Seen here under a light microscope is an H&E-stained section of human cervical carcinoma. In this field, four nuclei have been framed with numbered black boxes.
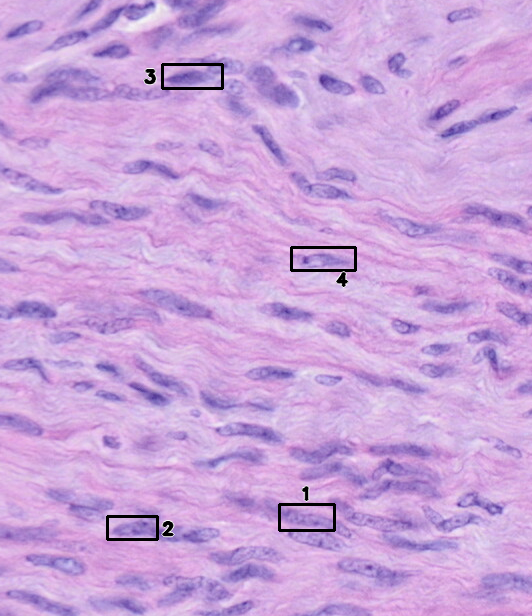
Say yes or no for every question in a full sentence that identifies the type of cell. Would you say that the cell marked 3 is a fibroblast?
Yes, the cell denoted by 3 is a fibroblast.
